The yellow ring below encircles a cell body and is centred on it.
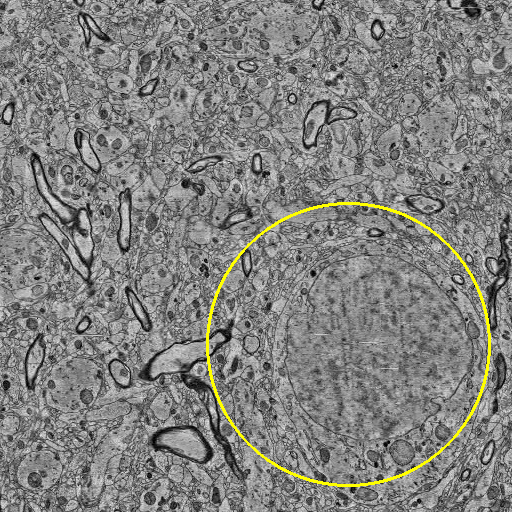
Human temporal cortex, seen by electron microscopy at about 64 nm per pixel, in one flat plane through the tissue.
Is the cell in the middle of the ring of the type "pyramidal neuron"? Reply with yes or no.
yes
